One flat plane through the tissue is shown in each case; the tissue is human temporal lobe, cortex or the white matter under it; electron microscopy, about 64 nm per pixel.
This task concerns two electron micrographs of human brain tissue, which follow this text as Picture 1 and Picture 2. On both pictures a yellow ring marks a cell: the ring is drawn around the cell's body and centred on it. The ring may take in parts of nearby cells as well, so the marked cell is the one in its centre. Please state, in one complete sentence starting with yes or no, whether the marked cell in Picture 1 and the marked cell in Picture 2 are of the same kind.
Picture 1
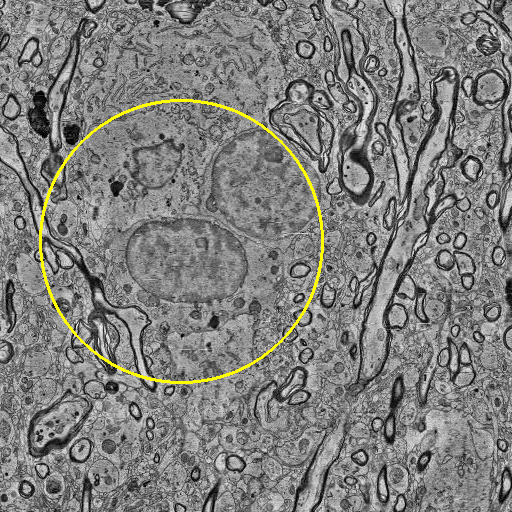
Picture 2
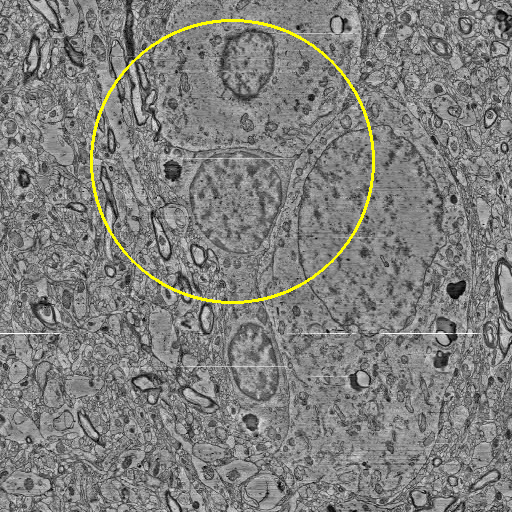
Yes, the marked cells in both pictures are of the same kind.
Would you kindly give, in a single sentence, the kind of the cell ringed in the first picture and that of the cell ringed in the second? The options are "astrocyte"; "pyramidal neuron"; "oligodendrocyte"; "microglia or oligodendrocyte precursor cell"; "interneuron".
Each cell at the centre of a ring is an oligodendrocyte.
